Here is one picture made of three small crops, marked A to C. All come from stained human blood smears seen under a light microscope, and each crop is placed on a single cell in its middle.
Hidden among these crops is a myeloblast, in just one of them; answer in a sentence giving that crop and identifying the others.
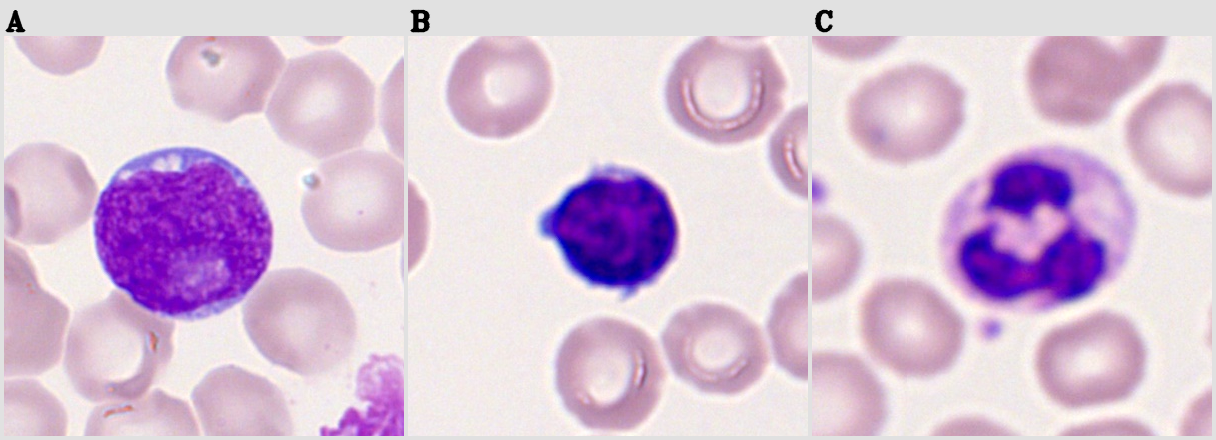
In the series, crop A depicts a myeloblast, while crop B is a lymphocyte and crop C is a segmented neutrophil.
